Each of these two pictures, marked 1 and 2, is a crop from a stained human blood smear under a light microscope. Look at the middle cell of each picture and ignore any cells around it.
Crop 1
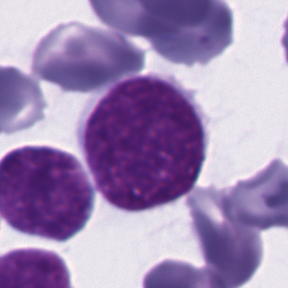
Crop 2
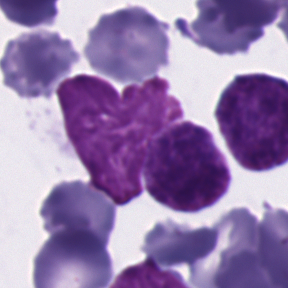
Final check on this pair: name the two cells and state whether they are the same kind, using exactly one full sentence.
No, crop 1 shows a myeloblast and crop 2 a smudge cell.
